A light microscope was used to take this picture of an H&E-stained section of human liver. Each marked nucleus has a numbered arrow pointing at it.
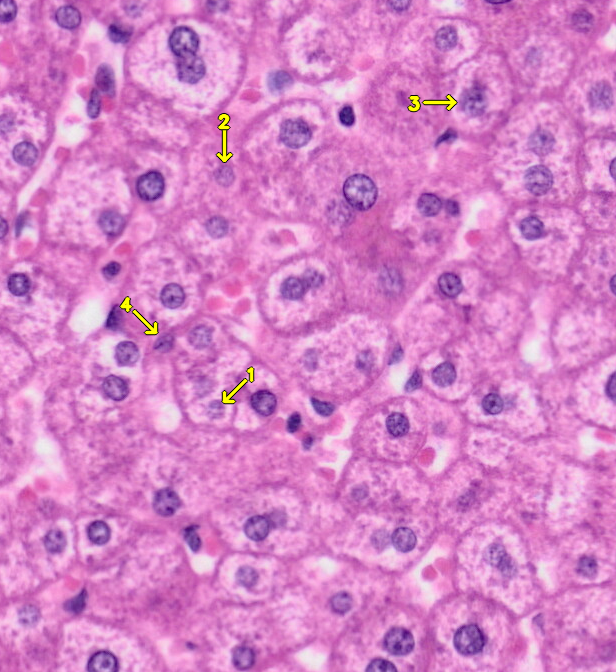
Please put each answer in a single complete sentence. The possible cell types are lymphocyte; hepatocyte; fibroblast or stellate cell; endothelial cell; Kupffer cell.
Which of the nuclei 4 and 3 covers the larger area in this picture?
At about 2 times the area of nucleus 4, nucleus 3 is the larger of the two.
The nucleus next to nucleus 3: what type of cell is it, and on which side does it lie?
An endothelial cell lies closest, below and to the left of nucleus 3.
